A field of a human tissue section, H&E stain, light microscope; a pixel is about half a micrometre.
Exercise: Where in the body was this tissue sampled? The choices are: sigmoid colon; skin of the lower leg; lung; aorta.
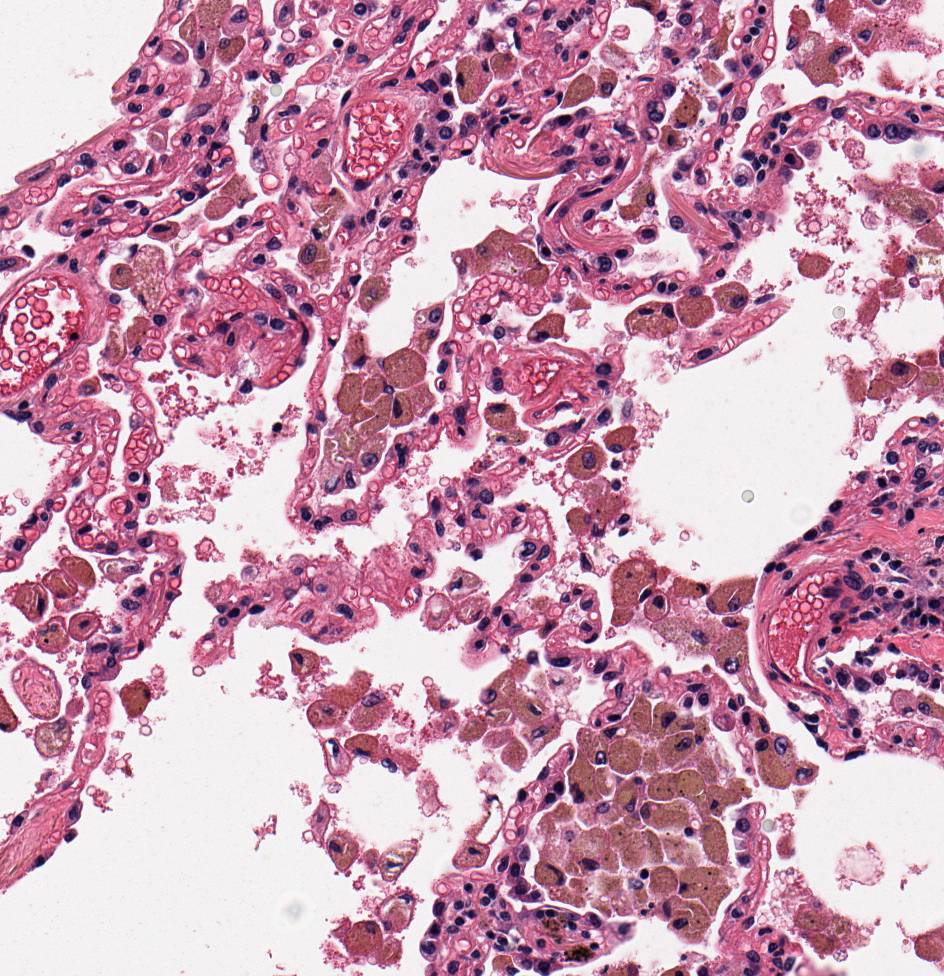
lung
